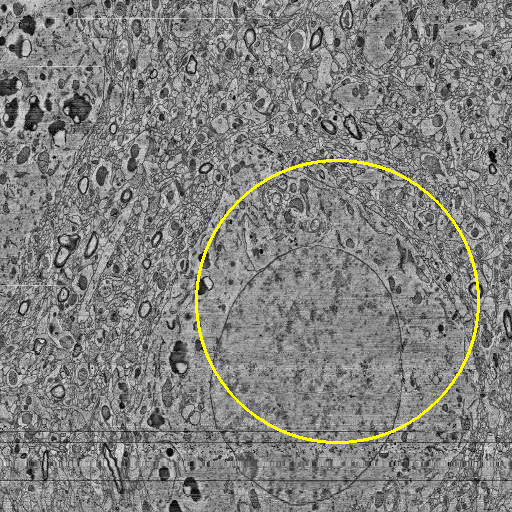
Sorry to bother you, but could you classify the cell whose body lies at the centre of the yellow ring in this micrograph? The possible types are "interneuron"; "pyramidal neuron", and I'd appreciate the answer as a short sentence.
The ringed cell body is that of a pyramidal neuron.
